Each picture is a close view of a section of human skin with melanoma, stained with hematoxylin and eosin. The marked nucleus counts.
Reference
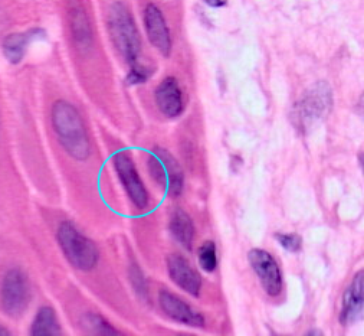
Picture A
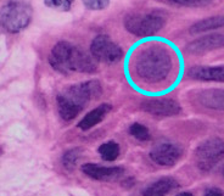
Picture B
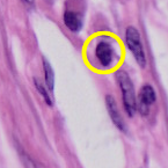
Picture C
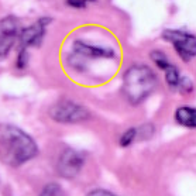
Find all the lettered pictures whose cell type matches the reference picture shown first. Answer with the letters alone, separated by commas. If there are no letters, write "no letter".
A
